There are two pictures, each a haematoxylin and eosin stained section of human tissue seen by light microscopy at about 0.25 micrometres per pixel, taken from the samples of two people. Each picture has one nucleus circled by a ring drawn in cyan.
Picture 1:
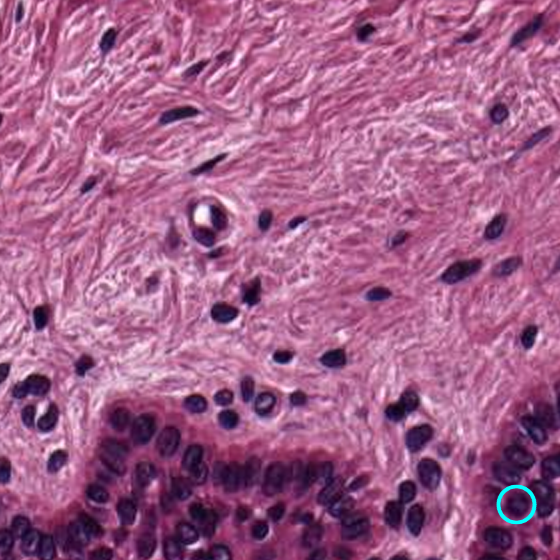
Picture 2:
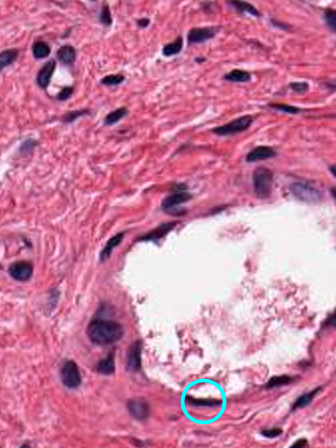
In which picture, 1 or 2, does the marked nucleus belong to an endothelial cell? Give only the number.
2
